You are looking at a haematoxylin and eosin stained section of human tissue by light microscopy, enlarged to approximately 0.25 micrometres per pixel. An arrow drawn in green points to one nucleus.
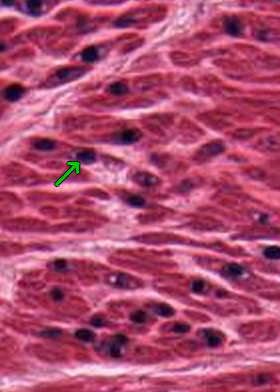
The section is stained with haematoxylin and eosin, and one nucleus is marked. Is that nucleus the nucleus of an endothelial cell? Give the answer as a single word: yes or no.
no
